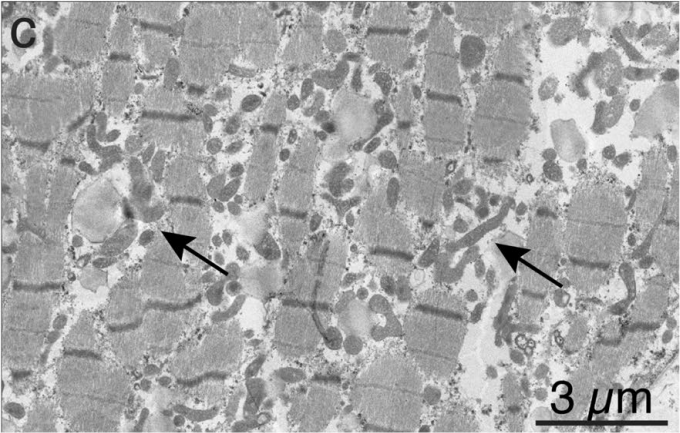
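Transmission electron micrograph of a muscle fiber with striated myofibrils crossed by regular dark Z-lines. Between the myofibrils lie many dark mitochondria of variable shape, some rounded and some long and curved, together with pale round droplets and lighter empty-looking spaces.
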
